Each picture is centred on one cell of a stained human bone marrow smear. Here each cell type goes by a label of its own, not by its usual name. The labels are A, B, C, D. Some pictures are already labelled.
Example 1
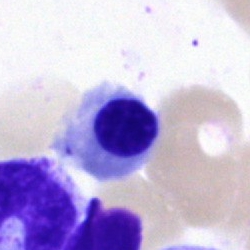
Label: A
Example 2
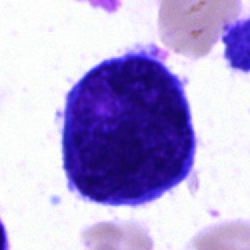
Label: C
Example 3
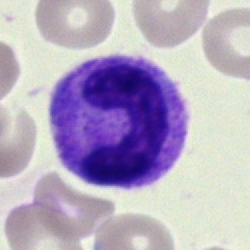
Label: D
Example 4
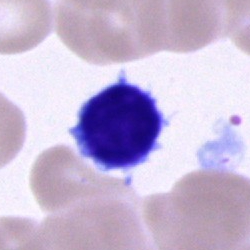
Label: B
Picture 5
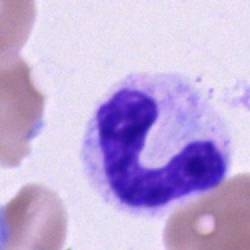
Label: D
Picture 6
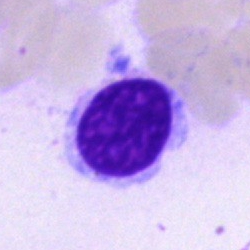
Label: B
